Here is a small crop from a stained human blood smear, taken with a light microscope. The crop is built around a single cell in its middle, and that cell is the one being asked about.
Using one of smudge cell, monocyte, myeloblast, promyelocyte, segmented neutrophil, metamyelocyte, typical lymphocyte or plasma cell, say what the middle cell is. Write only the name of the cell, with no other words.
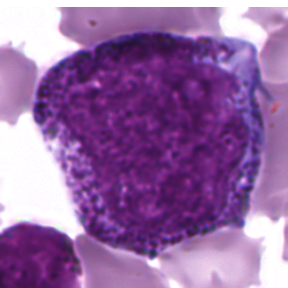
promyelocyte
